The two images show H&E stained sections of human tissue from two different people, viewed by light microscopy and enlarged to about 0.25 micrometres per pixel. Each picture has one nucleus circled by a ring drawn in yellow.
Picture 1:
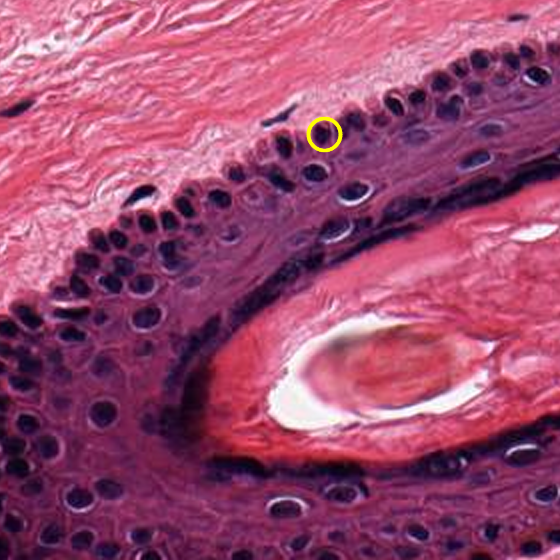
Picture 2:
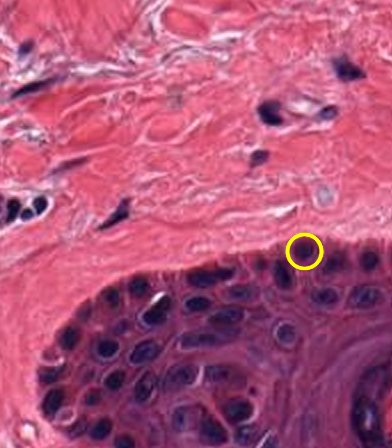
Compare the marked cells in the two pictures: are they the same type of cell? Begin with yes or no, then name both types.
Yes, both are keratinocytes.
